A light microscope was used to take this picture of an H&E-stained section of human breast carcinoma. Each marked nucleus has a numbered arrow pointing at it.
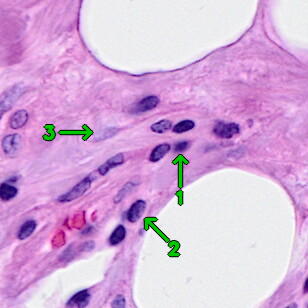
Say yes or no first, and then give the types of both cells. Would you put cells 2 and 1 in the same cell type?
Yes, both are lymphocytes.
